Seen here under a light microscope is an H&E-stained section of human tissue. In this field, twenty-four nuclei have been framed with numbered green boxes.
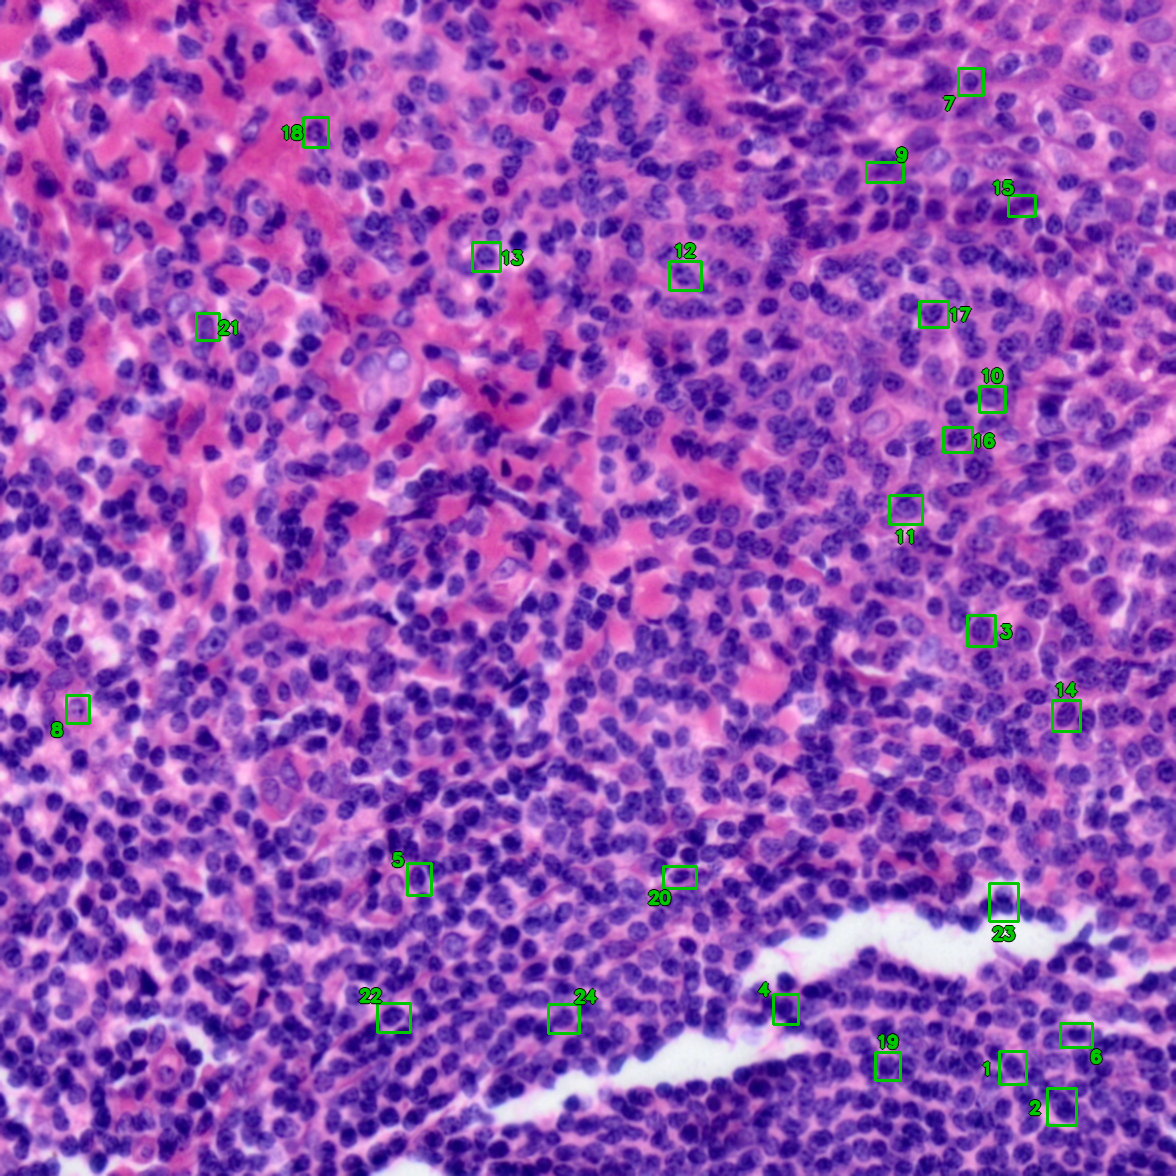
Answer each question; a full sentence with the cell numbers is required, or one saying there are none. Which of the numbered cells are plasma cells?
The cells numbered 3, 10, 11, 12, 13, 14, 16, 17 and 18 are, by type, plasma cells.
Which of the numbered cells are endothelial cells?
The cells which carry the numbers 8 and 21 are endothelial cells.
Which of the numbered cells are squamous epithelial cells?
The cells numbered 7, 9 and 15 fall into the category of squamous epithelial cells.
